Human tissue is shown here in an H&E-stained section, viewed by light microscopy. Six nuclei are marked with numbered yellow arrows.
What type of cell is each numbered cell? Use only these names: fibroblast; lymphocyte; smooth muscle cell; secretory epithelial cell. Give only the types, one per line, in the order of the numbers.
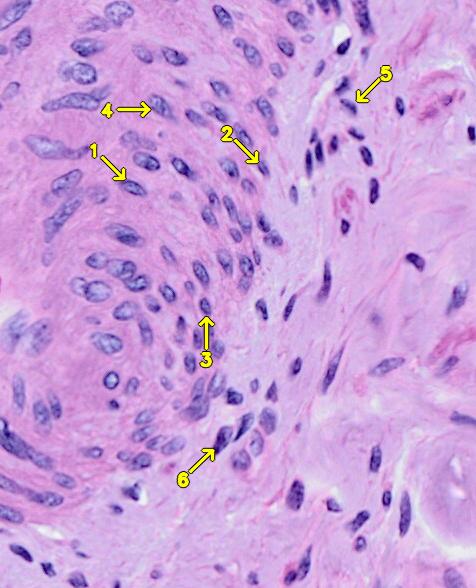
smooth muscle cell
smooth muscle cell
smooth muscle cell
smooth muscle cell
fibroblast
lymphocyte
